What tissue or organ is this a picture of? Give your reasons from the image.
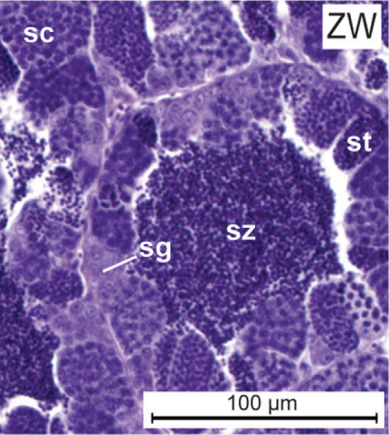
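Testis. Clusters of small round purple cells in compartments. A central mass of tiny densely packed dark dots.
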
